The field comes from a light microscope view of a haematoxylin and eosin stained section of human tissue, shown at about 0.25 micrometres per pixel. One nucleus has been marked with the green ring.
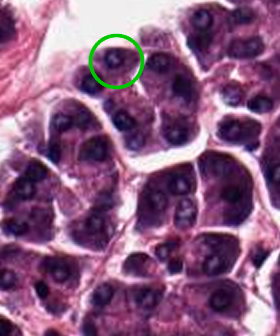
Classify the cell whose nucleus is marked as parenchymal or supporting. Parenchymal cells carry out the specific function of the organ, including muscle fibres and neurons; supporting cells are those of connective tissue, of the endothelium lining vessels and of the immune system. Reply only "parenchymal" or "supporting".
parenchymal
